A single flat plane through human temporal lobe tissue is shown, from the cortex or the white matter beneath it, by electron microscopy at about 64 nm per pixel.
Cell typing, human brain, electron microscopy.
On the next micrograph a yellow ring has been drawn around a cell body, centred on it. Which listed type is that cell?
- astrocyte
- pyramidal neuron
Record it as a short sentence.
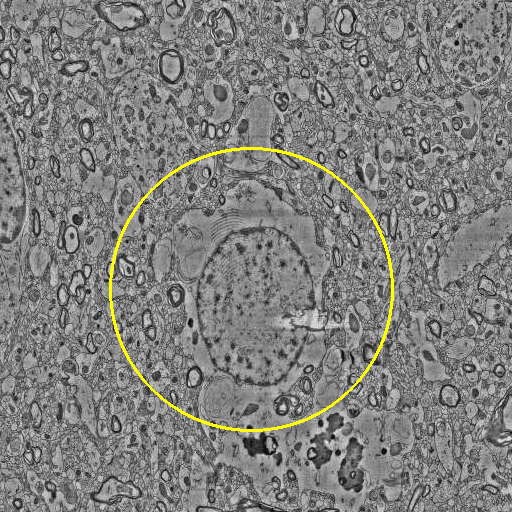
The cell body in the ring's centre belongs to an astrocyte.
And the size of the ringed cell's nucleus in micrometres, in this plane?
In this plane, the nucleus is roughly 10 by 7 micrometres.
